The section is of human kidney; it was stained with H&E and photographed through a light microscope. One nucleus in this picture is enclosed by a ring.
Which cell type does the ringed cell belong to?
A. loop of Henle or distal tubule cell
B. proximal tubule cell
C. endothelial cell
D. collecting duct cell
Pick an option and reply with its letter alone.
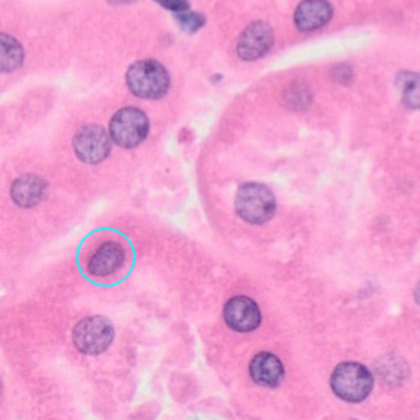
B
